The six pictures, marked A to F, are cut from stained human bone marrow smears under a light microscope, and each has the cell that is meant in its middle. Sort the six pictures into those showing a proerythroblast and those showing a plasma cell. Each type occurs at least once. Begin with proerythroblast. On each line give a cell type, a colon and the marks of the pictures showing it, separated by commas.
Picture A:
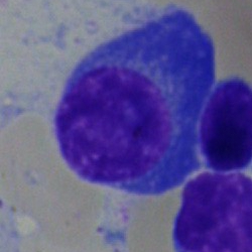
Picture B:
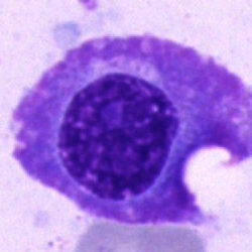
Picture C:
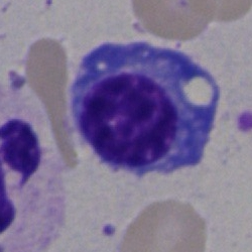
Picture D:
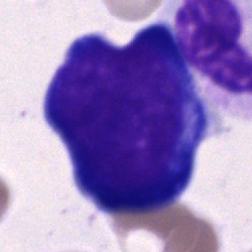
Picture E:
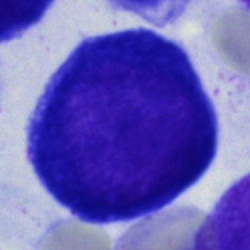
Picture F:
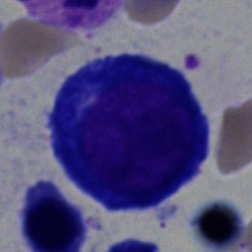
proerythroblast: D, E, F
plasma cell: A, B, C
